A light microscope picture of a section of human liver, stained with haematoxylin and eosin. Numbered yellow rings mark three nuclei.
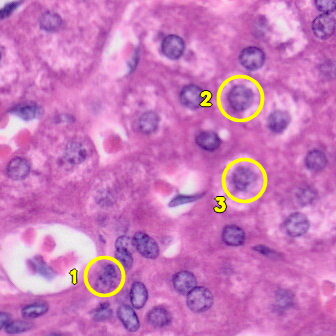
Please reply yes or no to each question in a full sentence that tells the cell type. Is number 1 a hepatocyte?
No, the cell under number 1 is a cholangiocyte instead of a hepatocyte.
